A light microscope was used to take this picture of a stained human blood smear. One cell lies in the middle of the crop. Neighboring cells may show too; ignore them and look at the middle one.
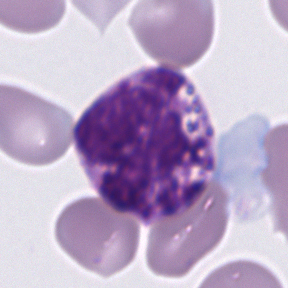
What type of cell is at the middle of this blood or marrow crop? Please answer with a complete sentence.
The cell at the middle of the crop is recognized as a basophil.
